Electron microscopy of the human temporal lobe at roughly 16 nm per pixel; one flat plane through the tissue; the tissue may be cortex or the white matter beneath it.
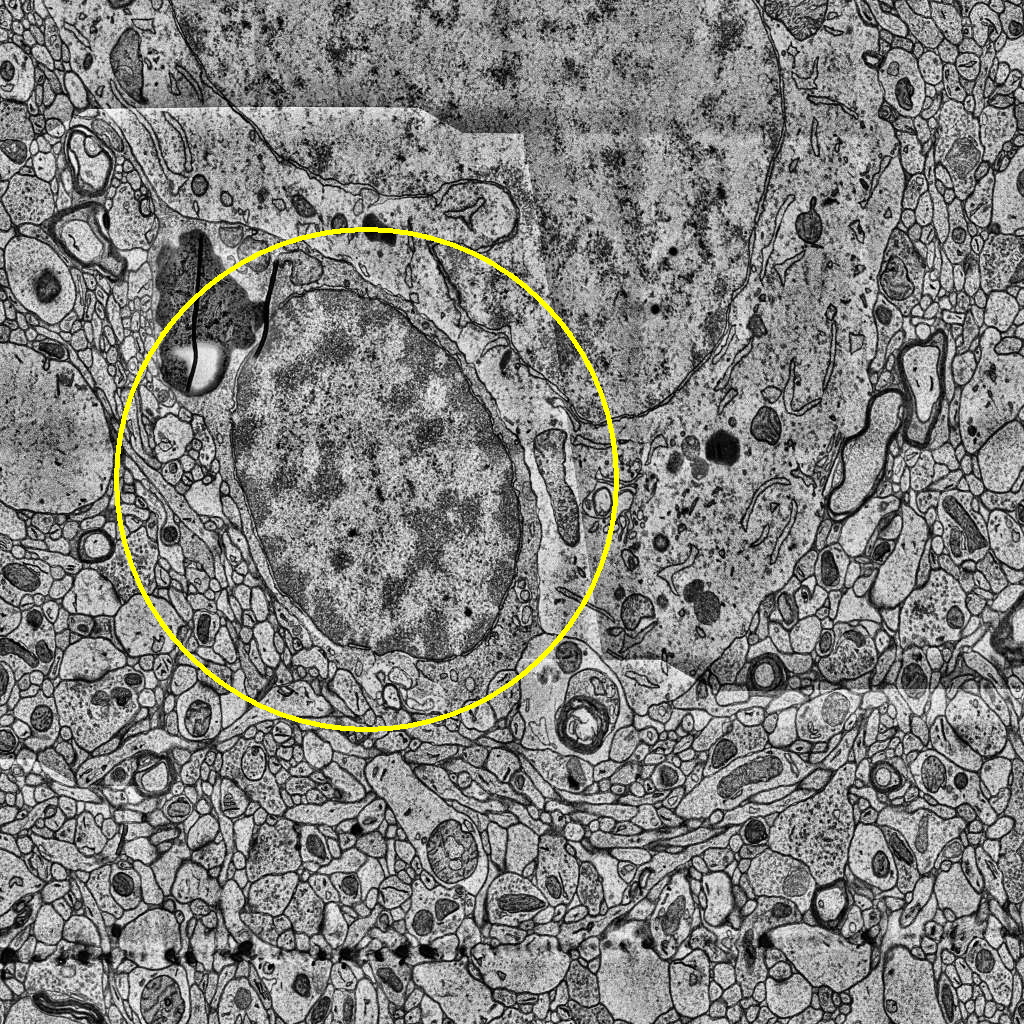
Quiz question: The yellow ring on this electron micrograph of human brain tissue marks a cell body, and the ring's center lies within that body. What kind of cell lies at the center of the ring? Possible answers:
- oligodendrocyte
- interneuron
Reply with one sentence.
The ring's center lies on an oligodendrocyte.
